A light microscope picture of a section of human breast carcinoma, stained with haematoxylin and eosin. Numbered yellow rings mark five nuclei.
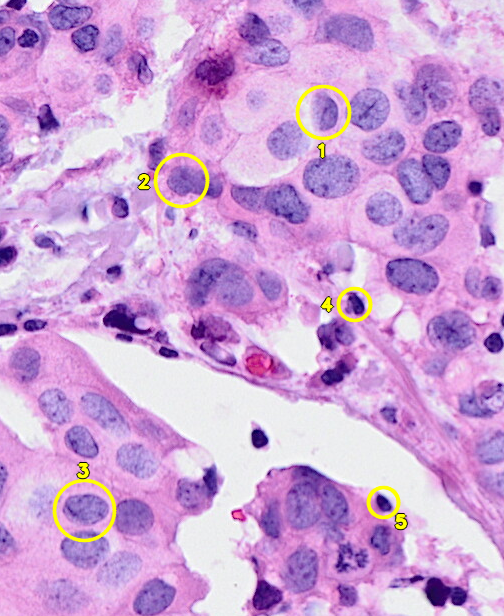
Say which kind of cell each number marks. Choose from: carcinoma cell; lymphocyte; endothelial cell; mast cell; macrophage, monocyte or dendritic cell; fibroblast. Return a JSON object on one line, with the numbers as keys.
{"1": "carcinoma cell", "2": "carcinoma cell", "3": "carcinoma cell", "4": "lymphocyte", "5": "lymphocyte"}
